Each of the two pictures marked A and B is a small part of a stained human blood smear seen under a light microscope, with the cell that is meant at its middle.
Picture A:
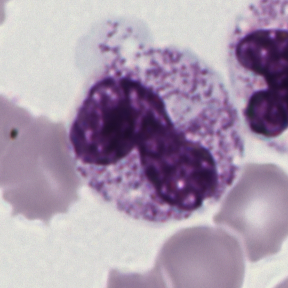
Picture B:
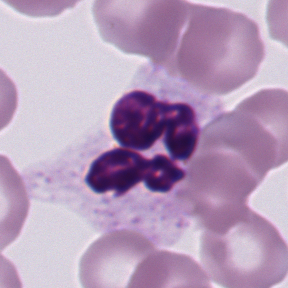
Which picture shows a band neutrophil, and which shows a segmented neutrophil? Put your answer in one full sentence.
Picture A is of a band neutrophil, and picture B is of a segmented neutrophil.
